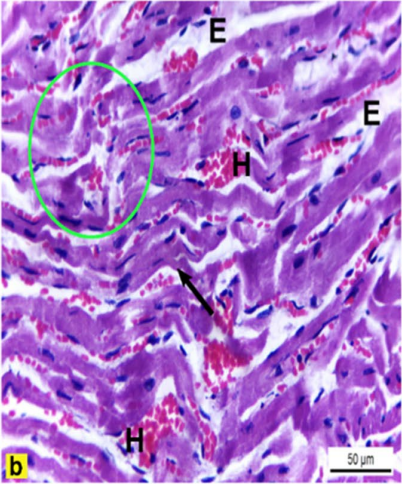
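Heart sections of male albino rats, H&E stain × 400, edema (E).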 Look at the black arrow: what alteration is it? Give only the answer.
Wavy-shaped myofibers with unclear striation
